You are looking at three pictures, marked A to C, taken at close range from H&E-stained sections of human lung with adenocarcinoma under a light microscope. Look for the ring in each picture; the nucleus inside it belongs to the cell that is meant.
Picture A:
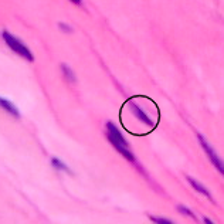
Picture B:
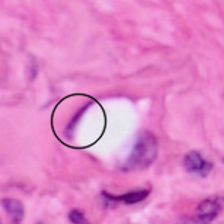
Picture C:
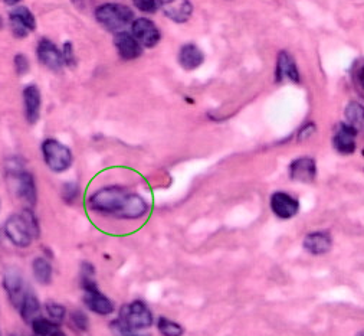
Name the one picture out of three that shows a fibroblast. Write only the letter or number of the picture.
A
